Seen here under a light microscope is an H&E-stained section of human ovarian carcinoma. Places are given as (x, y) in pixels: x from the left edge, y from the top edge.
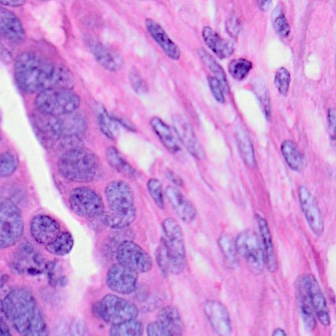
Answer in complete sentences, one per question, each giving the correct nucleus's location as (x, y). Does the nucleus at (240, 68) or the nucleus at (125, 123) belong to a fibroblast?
It is the nucleus at (125, 123) that forms part of a fibroblast.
